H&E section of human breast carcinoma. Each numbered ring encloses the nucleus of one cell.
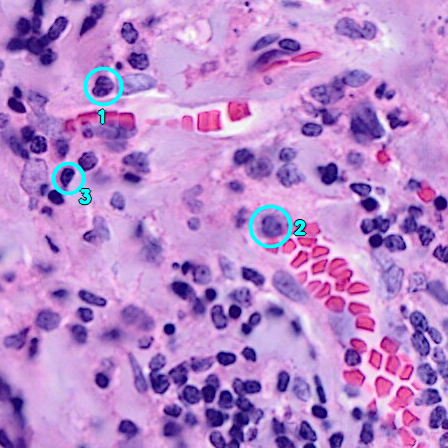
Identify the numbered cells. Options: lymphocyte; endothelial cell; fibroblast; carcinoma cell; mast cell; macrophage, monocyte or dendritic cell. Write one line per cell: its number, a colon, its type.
1: lymphocyte
2: endothelial cell
3: lymphocyte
